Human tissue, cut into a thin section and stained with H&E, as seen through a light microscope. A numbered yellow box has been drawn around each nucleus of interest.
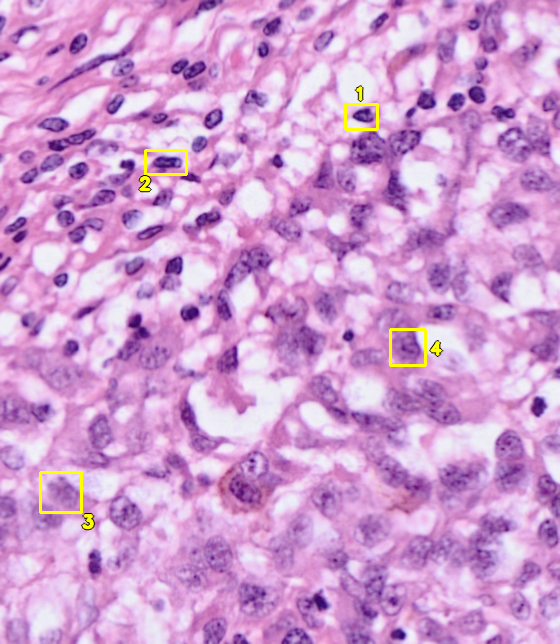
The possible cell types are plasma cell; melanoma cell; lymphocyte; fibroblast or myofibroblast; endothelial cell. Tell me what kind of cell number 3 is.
melanoma cell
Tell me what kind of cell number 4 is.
melanoma cell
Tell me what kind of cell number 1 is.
lymphocyte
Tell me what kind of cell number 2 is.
lymphocyte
